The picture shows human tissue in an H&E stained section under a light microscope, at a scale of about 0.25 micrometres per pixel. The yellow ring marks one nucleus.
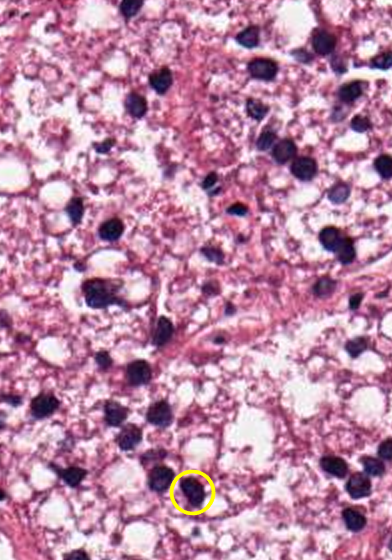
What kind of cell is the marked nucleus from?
adrenal cortical cell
